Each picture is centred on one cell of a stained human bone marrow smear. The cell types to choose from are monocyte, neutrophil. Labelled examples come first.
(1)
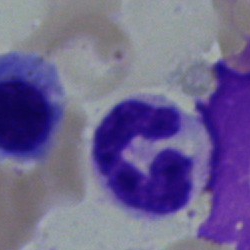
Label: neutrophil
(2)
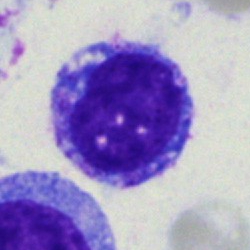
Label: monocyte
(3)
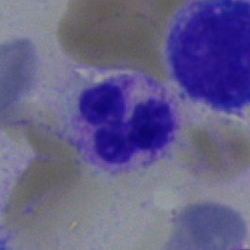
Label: neutrophil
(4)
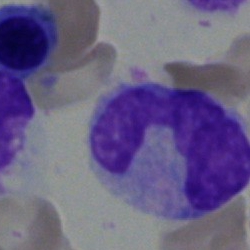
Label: monocyte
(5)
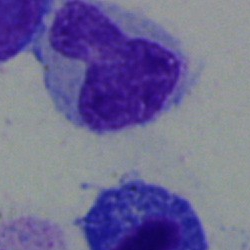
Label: monocyte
